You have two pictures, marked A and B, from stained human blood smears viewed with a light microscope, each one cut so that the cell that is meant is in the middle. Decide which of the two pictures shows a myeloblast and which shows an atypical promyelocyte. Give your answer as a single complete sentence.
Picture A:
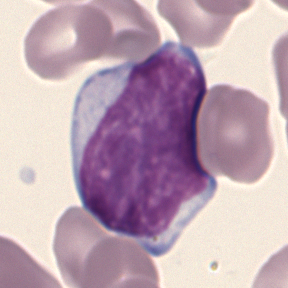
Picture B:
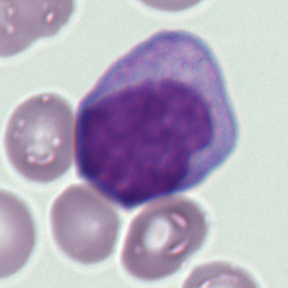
It is picture A that shows a myeloblast, and picture B that shows an atypical promyelocyte.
